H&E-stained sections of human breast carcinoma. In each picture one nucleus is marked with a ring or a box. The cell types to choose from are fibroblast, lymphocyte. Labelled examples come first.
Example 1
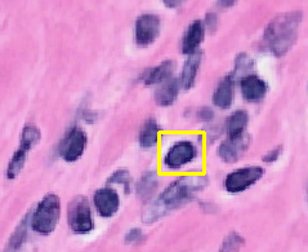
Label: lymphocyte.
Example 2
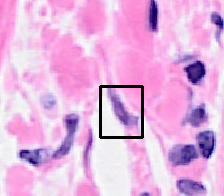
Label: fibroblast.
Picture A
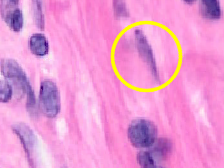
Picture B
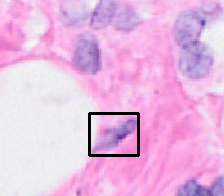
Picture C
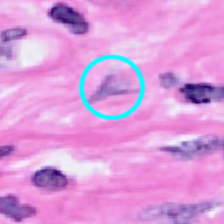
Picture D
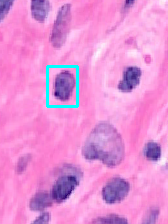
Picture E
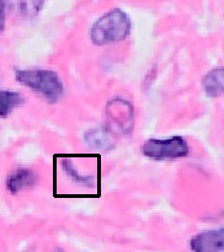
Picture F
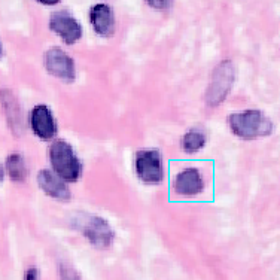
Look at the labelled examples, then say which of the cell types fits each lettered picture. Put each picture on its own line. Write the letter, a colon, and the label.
A: fibroblast.
B: fibroblast.
C: fibroblast.
D: lymphocyte.
E: fibroblast.
F: lymphocyte.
